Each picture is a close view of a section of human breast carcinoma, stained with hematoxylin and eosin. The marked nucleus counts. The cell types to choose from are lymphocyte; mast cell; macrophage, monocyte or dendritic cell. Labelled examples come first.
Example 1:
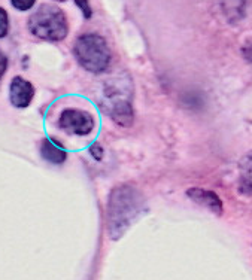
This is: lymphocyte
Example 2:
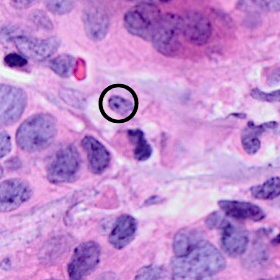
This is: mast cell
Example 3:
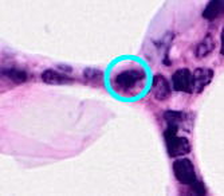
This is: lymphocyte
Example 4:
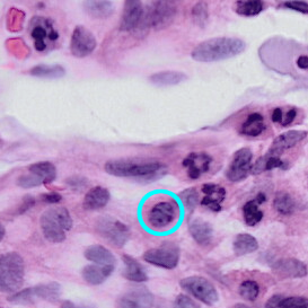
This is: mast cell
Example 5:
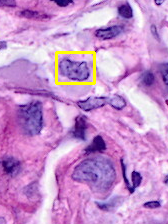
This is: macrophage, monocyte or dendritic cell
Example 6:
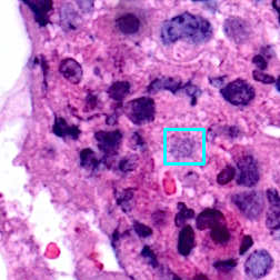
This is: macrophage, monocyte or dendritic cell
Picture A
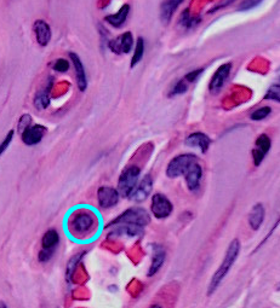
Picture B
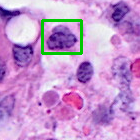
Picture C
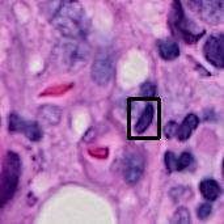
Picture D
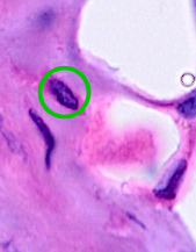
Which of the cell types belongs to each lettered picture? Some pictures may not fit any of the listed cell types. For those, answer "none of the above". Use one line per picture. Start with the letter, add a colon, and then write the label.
A: mast cell
B: macrophage, monocyte or dendritic cell
C: lymphocyte
D: mast cell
